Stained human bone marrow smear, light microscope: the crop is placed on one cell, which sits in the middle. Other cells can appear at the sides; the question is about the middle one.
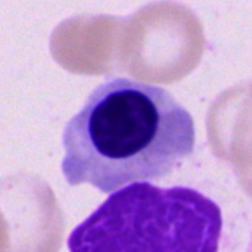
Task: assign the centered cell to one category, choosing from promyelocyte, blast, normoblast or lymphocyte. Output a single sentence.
The cell at the centre of the field is a normoblast.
